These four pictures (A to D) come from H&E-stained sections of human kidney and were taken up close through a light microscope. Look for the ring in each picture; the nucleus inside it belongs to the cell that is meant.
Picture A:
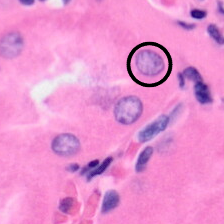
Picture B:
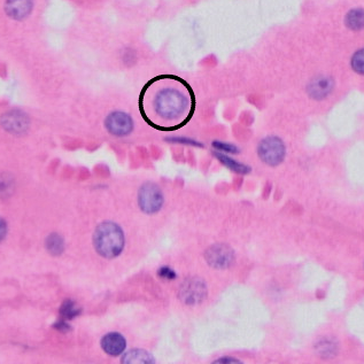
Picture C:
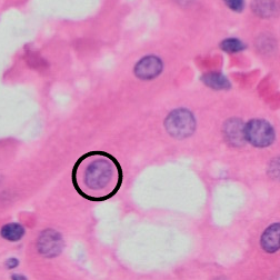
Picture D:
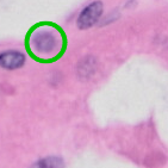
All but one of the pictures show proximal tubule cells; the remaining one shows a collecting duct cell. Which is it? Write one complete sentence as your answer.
Picture D shows the collecting duct cell.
